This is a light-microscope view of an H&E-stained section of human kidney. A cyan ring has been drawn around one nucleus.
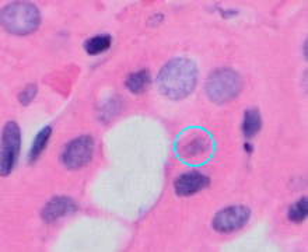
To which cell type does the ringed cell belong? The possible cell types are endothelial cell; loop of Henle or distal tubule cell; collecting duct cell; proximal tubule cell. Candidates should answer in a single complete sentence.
In this tissue section, the ringed cell is to be classed as a loop of Henle or distal tubule cell.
